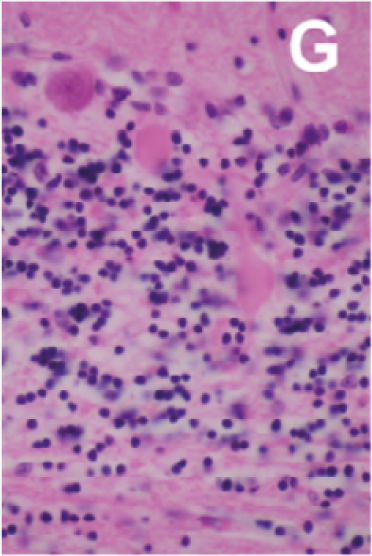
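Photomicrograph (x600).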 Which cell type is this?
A: Degenerate Purkinje cells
